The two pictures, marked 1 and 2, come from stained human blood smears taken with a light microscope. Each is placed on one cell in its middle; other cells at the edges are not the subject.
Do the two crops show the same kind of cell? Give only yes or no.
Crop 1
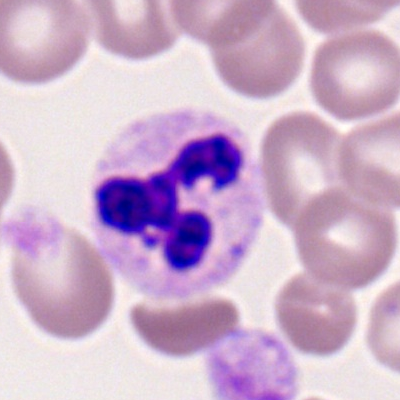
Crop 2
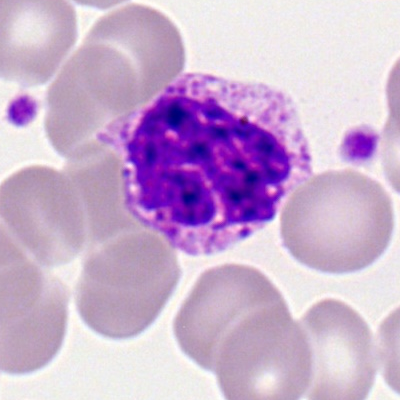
no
